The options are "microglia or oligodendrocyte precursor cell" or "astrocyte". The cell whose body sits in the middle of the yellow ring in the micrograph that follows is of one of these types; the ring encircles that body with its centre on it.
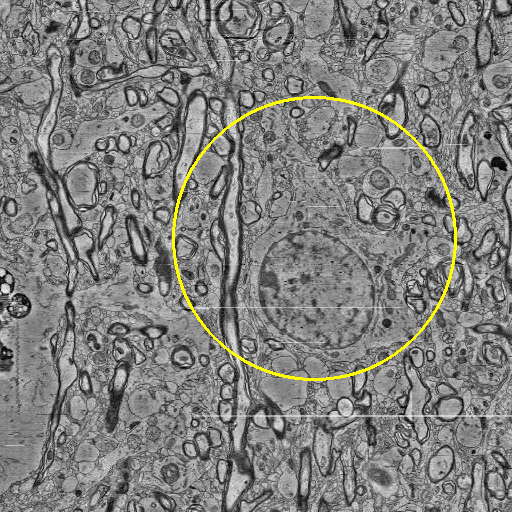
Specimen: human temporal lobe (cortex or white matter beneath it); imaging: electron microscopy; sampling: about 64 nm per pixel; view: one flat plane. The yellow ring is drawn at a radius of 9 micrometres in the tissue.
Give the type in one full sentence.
Going by the micrograph, the cell centred in the yellow ring is a microglial cell or oligodendrocyte precursor cell.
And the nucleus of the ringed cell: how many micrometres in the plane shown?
Roughly 8 micrometres by 7 micrometres, in this plane.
